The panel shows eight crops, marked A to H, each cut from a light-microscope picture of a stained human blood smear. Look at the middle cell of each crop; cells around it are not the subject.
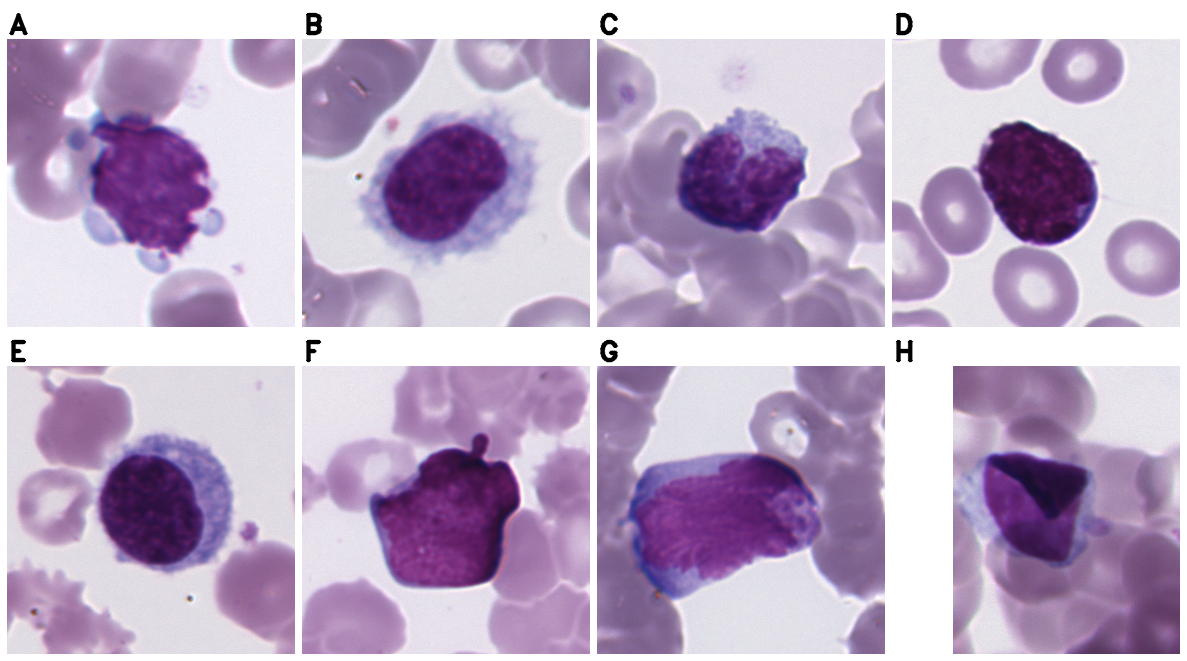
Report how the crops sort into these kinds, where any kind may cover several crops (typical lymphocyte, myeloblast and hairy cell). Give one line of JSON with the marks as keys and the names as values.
{"A": "typical lymphocyte", "B": "hairy cell", "C": "typical lymphocyte", "D": "myeloblast", "E": "hairy cell", "F": "myeloblast", "G": "myeloblast", "H": "typical lymphocyte"}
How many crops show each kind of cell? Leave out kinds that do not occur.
typical lymphocyte: 3
myeloblast: 3
hairy cell: 2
